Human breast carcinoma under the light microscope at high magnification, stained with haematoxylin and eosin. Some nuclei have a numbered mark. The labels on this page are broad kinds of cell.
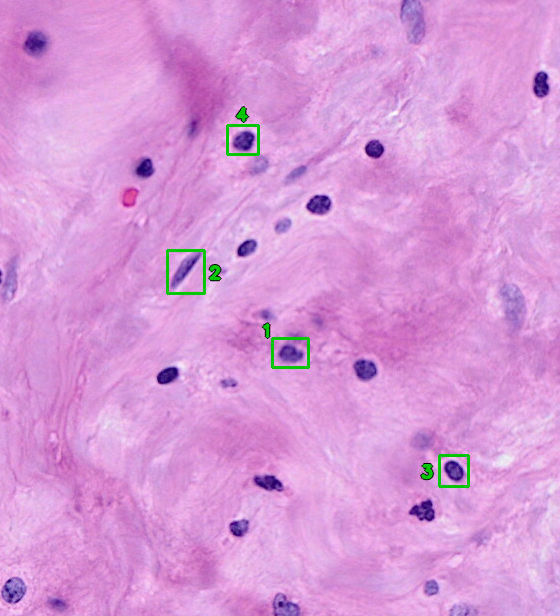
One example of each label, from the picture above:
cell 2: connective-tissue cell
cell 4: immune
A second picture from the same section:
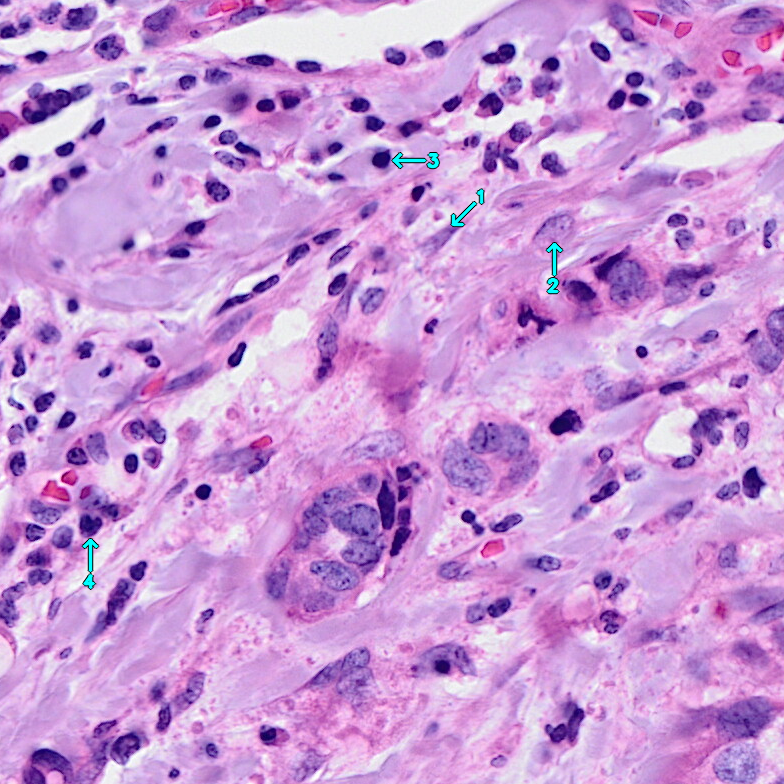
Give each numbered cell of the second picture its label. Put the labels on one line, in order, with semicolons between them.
connective-tissue cell; connective-tissue cell; immune; immune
